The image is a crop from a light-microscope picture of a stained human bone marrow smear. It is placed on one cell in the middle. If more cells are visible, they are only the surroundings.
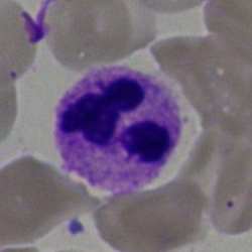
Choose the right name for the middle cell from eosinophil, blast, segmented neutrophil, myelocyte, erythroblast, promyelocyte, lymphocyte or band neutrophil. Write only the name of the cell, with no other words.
segmented neutrophil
